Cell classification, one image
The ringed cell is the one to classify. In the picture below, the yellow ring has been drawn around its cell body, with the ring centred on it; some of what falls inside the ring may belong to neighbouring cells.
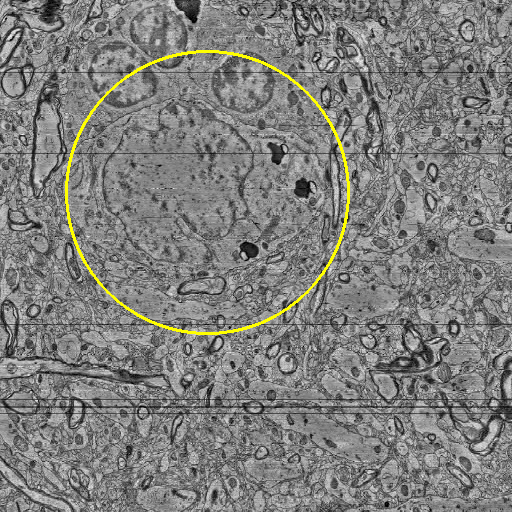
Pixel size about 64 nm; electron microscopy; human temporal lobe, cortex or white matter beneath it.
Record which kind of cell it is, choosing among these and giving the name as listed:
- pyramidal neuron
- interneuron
interneuron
